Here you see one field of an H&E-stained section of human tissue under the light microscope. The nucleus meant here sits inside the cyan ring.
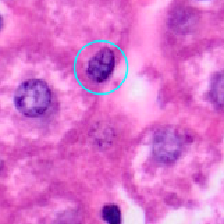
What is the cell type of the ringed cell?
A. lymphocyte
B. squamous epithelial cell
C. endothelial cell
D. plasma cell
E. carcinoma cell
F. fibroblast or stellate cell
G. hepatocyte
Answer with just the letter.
F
